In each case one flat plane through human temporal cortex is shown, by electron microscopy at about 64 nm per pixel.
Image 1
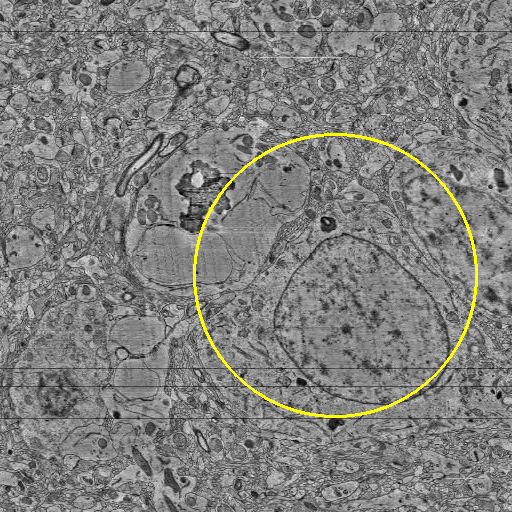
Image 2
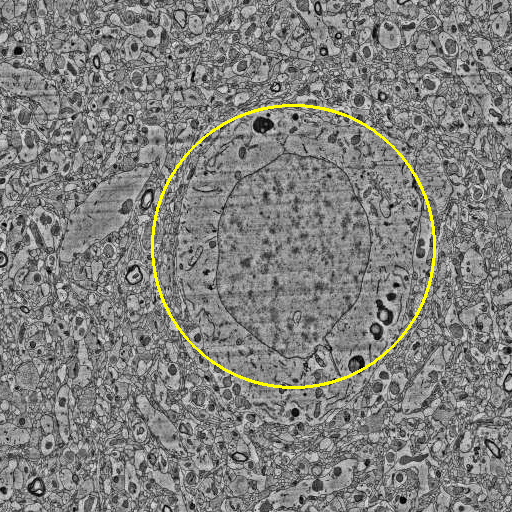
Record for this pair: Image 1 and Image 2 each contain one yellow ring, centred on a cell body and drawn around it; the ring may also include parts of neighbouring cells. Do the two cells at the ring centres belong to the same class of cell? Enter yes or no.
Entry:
yes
